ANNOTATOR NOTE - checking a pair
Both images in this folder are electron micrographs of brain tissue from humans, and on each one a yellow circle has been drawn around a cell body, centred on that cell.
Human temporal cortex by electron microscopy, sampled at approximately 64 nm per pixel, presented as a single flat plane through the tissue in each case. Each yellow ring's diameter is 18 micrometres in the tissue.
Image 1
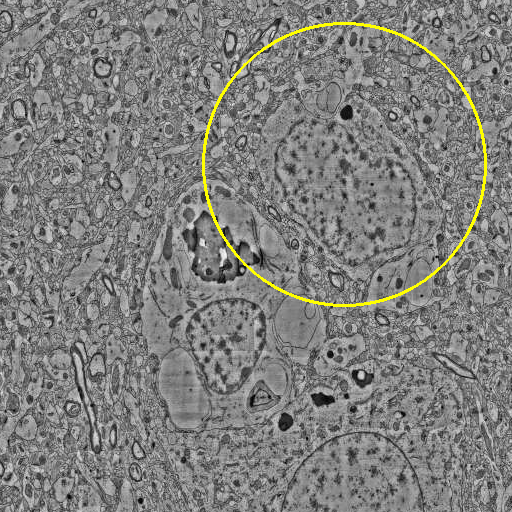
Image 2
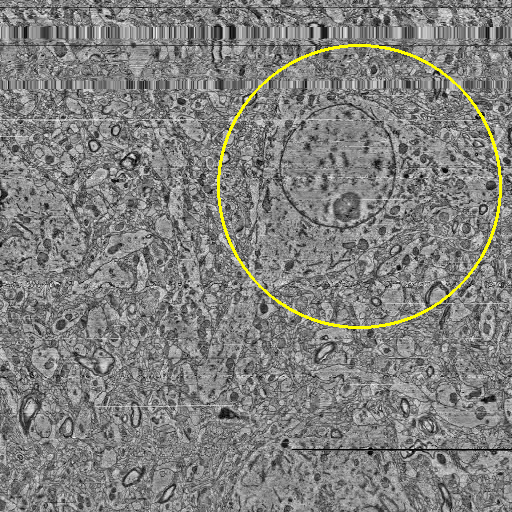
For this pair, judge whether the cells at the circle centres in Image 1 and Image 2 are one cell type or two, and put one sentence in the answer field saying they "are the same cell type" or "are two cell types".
For this pair, the cells at the circle centres in Images 1 and 2 are two cell types.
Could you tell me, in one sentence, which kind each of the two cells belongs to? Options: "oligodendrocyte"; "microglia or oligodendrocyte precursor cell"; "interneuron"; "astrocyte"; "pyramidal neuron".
At the centre of the first ring sits an interneuron, and at the centre of the second sits a pyramidal neuron.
